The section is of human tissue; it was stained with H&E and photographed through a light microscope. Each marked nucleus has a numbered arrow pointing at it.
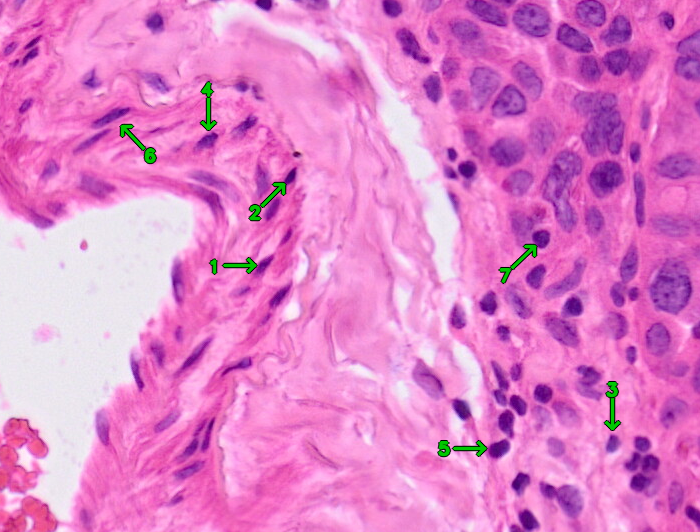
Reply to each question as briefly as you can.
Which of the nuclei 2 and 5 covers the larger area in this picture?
5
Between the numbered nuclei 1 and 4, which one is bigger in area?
4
